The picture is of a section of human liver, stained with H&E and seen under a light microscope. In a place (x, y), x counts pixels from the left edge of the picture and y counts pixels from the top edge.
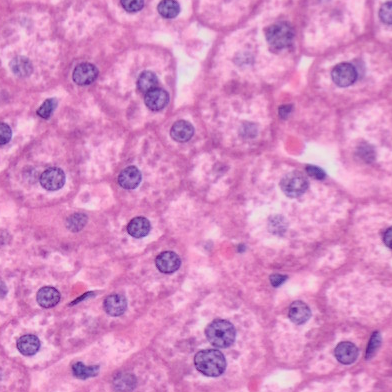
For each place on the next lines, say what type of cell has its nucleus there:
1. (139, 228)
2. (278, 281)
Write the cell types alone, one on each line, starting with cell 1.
hepatocyte
fibroblast or stellate cell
